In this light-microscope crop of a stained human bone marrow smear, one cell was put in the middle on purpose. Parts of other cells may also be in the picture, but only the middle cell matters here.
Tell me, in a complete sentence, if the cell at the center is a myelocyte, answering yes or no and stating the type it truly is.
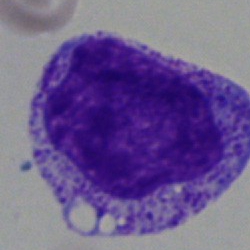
Yes, the cell in the center of the field is a myelocyte.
